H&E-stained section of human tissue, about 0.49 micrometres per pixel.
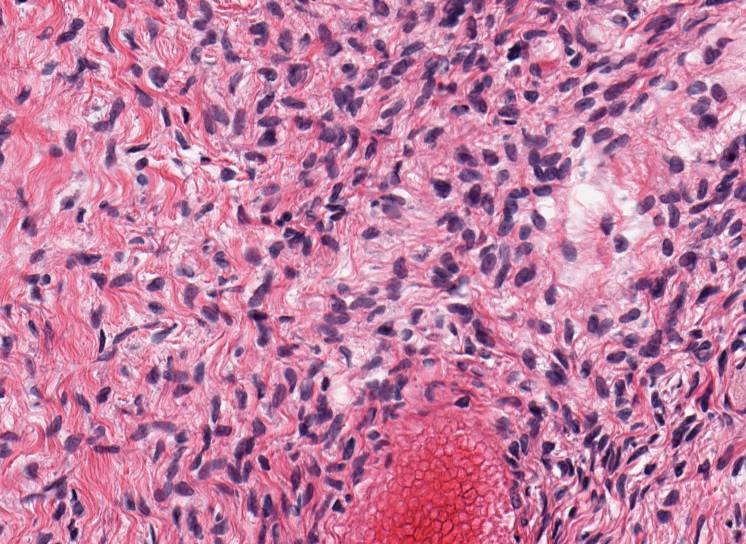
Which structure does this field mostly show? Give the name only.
ovarian cortex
